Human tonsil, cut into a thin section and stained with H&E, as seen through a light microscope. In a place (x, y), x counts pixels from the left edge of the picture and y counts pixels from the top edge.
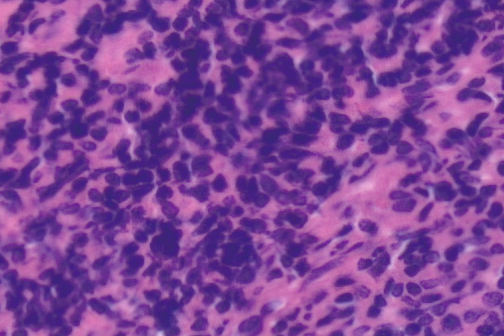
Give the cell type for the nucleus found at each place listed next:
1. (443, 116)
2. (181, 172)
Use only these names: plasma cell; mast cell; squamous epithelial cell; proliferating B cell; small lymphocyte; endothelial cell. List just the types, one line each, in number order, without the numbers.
endothelial cell
small lymphocyte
